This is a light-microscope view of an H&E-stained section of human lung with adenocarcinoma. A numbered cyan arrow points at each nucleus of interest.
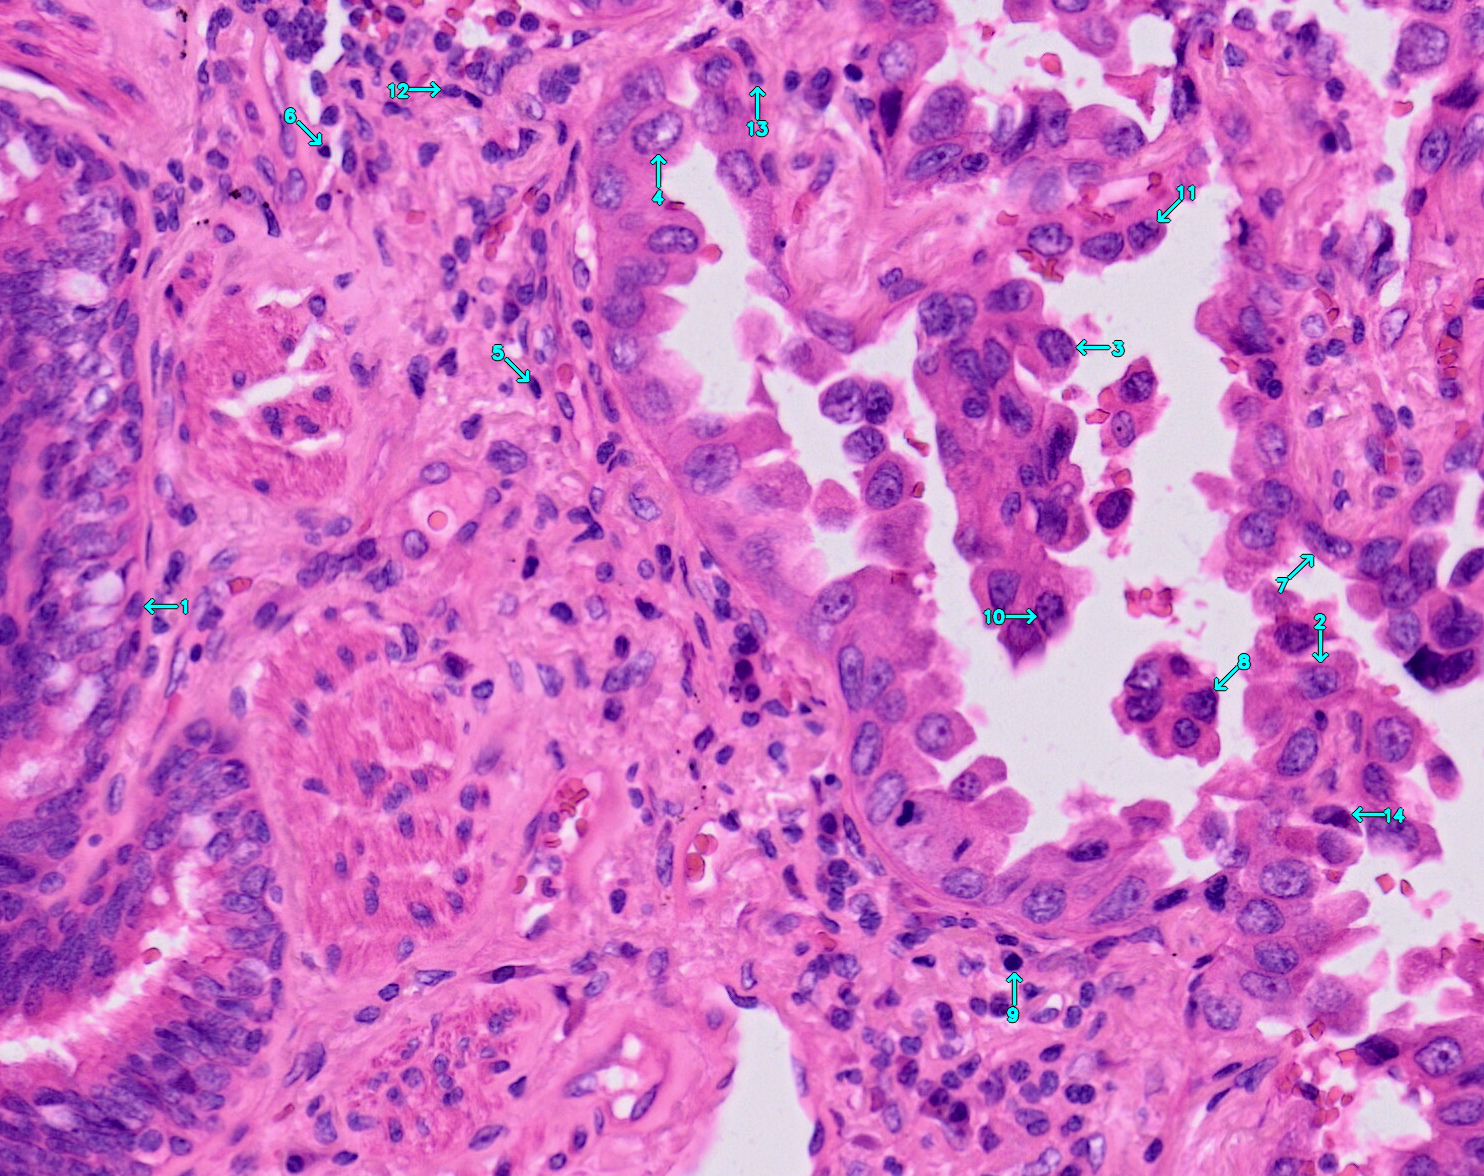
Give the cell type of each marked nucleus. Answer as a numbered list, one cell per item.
1. ciliated epithelial cell
2. carcinoma cell
3. carcinoma cell
4. carcinoma cell
5. lymphocyte
6. lymphocyte
7. carcinoma cell
8. carcinoma cell
9. lymphocyte
10. carcinoma cell
11. carcinoma cell
12. lymphocyte
13. lymphocyte
14. carcinoma cell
